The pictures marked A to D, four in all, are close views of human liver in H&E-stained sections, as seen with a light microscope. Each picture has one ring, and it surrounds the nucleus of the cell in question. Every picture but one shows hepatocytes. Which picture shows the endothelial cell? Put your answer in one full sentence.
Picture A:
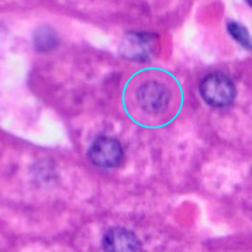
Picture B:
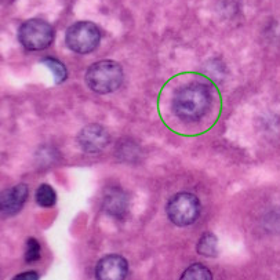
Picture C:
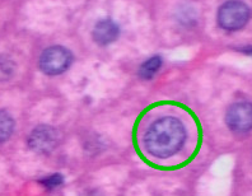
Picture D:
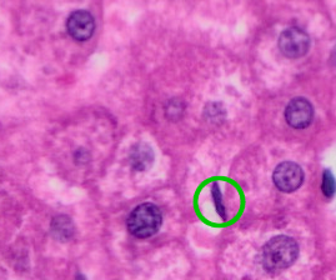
Picture D shows the endothelial cell.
